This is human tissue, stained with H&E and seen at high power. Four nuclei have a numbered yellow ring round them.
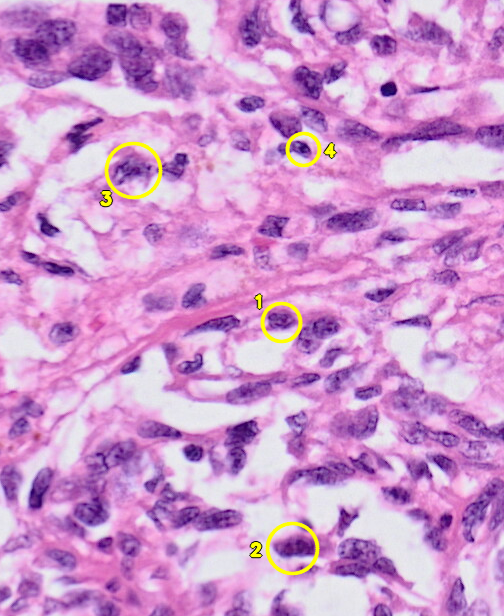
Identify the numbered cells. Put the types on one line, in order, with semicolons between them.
melanoma cell; melanoma cell; melanoma cell; lymphocyte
